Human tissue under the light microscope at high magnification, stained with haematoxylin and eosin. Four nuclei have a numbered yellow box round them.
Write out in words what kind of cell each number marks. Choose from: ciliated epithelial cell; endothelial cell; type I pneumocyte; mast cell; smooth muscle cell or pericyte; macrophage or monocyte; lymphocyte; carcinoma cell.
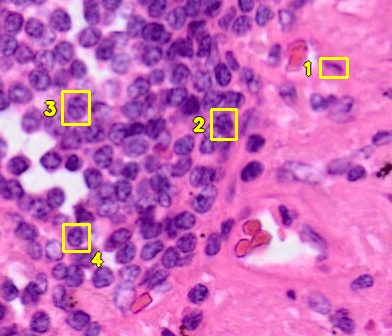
Cell 1 is an endothelial cell, cell 2 is a lymphocyte, cell 3 is a lymphocyte and cell 4 is a lymphocyte.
